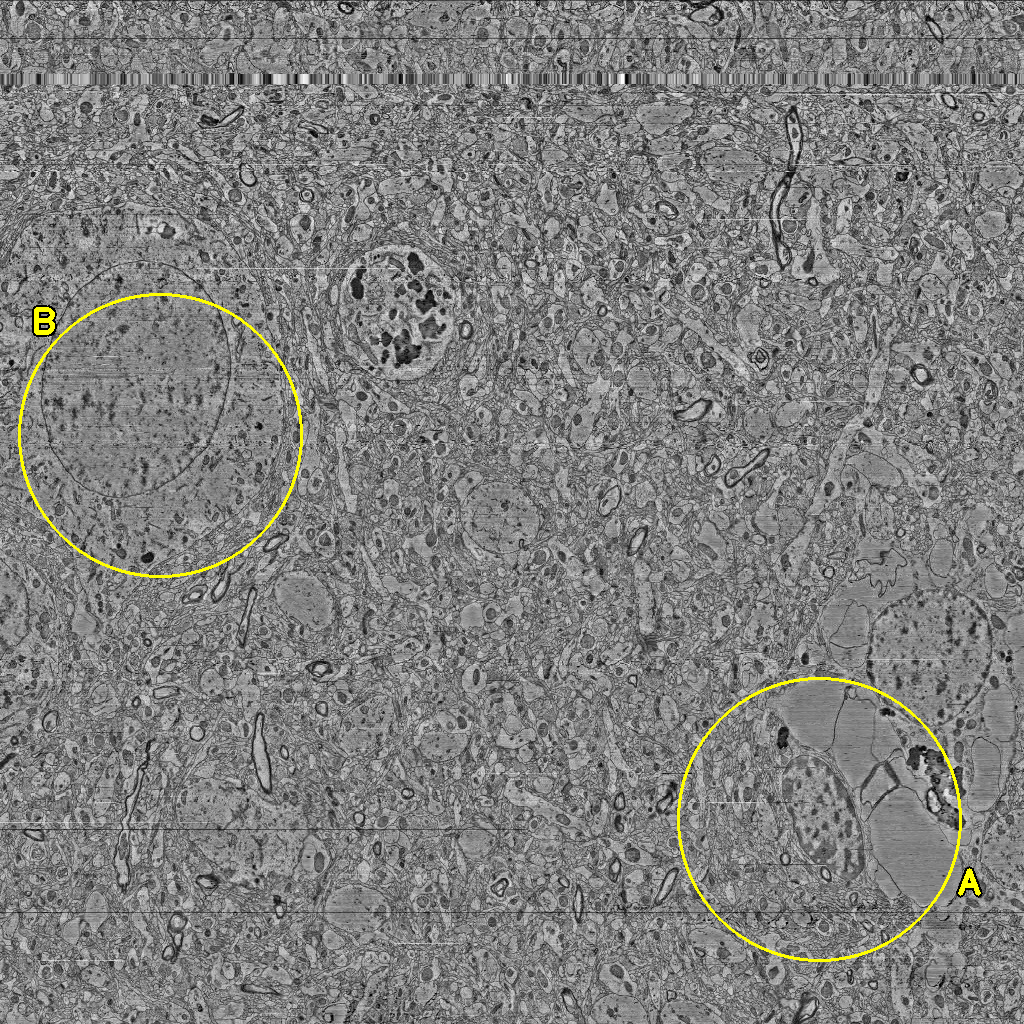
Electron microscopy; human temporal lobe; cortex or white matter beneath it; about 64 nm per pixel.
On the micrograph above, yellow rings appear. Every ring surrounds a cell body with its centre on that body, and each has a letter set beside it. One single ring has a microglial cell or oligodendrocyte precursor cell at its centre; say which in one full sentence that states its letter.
The answer is ring A, whose centre lies on the cell asked for.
